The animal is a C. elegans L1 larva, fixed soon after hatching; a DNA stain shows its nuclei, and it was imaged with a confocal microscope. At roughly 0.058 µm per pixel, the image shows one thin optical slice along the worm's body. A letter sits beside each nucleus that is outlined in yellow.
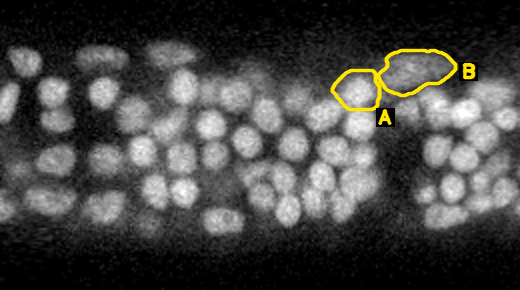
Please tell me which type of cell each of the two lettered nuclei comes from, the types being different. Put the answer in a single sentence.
A is the nucleus of a neuron; B is the nucleus of a body wall muscle cell.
